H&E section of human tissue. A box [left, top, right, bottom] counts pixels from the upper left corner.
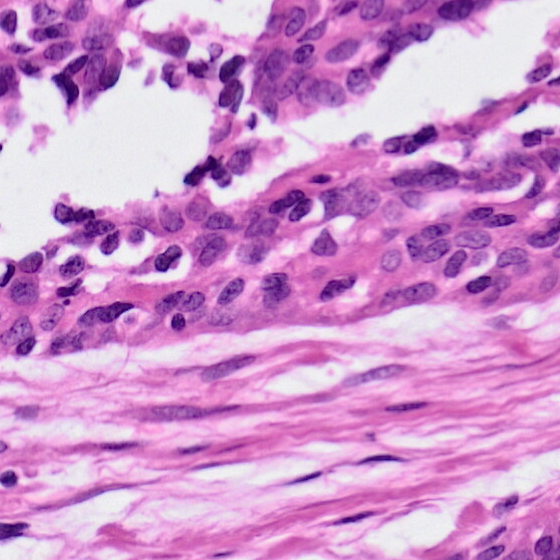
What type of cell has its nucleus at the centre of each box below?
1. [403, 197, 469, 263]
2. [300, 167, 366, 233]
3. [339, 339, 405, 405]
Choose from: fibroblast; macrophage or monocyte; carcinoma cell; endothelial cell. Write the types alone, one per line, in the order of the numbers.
carcinoma cell
carcinoma cell
fibroblast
